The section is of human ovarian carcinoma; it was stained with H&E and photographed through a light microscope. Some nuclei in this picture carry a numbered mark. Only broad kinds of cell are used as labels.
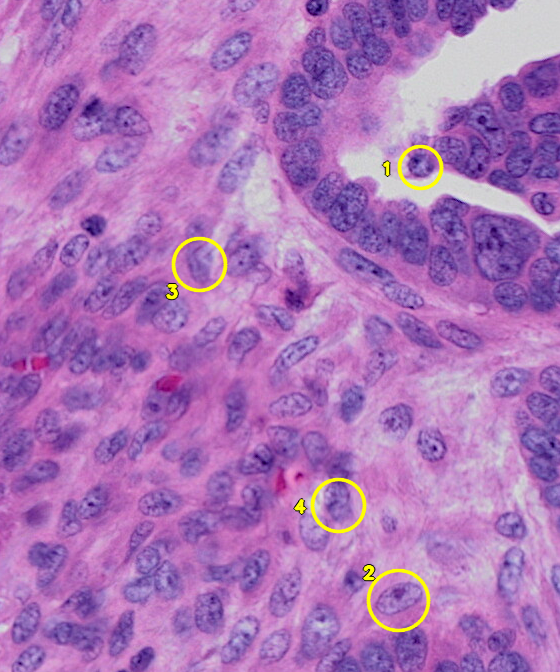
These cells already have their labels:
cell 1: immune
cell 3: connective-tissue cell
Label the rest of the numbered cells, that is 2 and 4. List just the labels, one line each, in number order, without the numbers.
connective-tissue cell
connective-tissue cell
